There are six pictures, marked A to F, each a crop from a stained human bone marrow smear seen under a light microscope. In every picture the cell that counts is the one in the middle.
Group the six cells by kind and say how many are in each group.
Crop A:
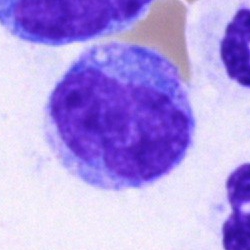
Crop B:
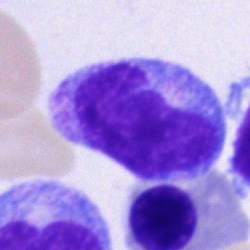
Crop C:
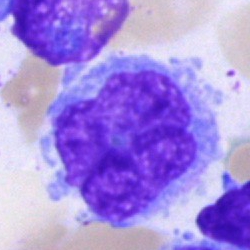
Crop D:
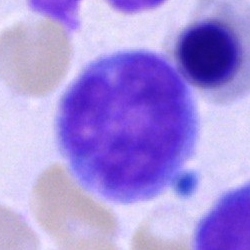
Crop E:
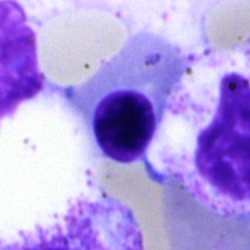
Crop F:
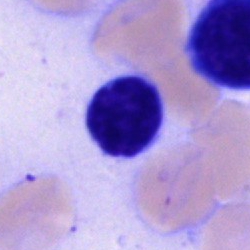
monocyte: 4
erythroblast: 1
lymphocyte: 1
